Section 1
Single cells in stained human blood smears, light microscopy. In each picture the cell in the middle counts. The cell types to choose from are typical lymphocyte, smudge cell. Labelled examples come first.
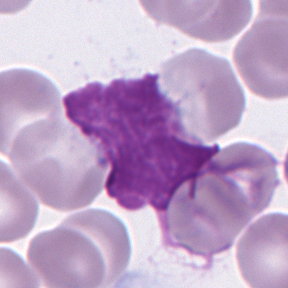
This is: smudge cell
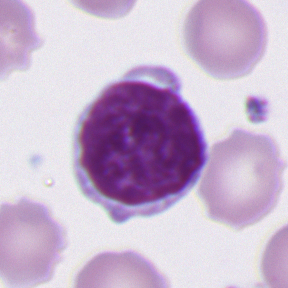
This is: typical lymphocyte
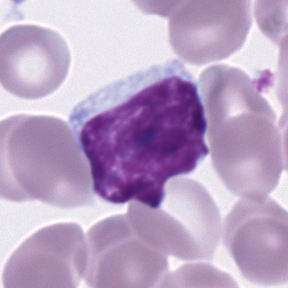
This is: typical lymphocyte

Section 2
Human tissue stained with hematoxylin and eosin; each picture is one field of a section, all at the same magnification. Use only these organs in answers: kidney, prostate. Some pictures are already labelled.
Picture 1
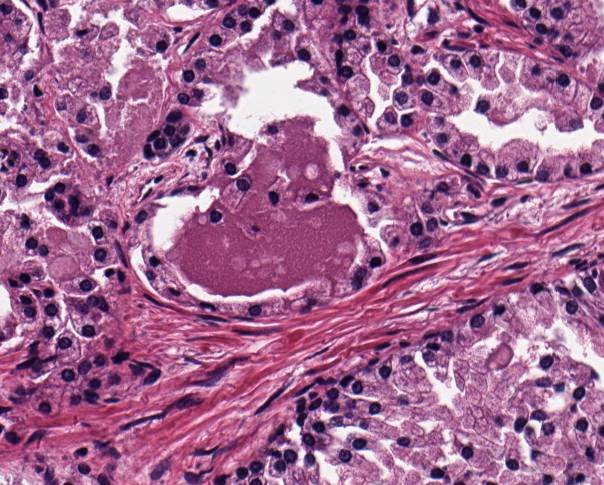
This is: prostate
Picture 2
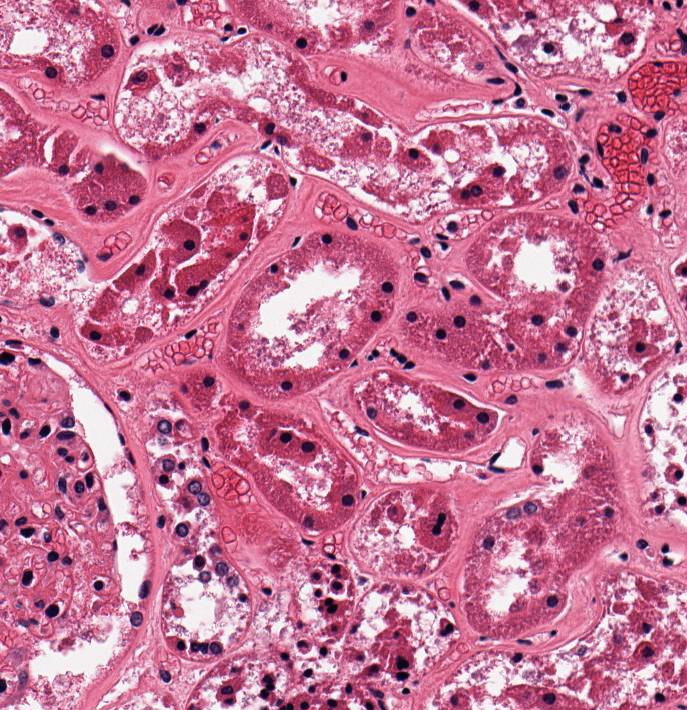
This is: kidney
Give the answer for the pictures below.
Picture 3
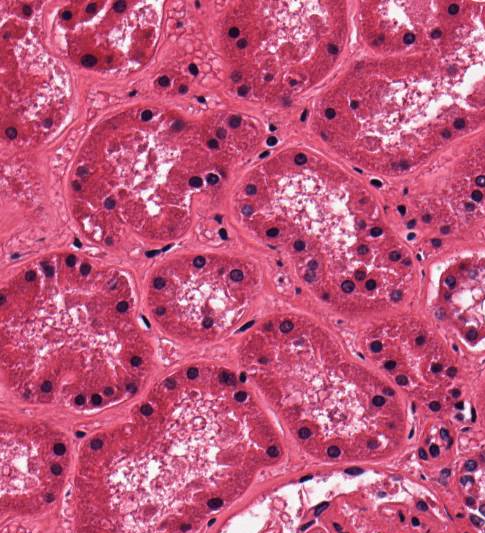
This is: kidney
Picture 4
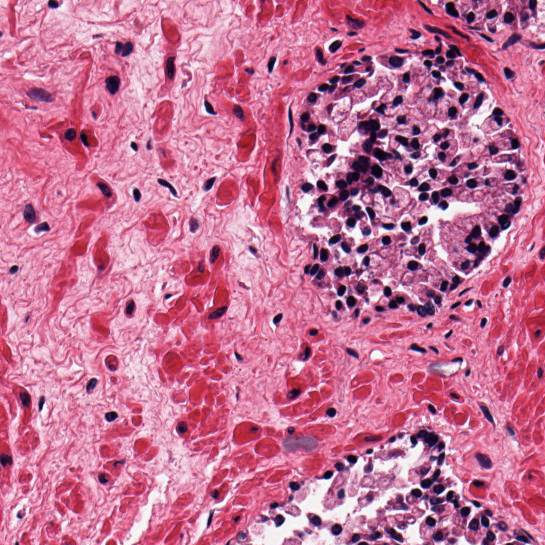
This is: prostate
